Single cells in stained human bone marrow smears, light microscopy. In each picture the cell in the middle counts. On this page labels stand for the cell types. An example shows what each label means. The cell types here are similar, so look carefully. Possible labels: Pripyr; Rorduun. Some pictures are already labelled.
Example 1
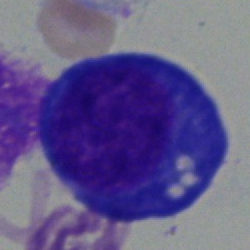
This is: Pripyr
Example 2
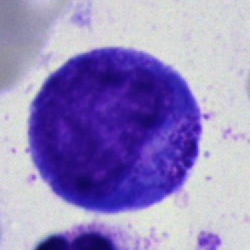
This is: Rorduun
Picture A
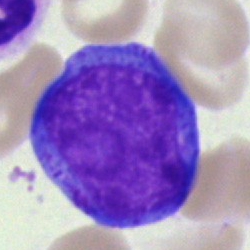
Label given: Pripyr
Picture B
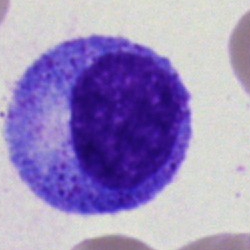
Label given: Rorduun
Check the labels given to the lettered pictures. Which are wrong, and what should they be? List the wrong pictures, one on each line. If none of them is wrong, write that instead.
None of the labels needs changing.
